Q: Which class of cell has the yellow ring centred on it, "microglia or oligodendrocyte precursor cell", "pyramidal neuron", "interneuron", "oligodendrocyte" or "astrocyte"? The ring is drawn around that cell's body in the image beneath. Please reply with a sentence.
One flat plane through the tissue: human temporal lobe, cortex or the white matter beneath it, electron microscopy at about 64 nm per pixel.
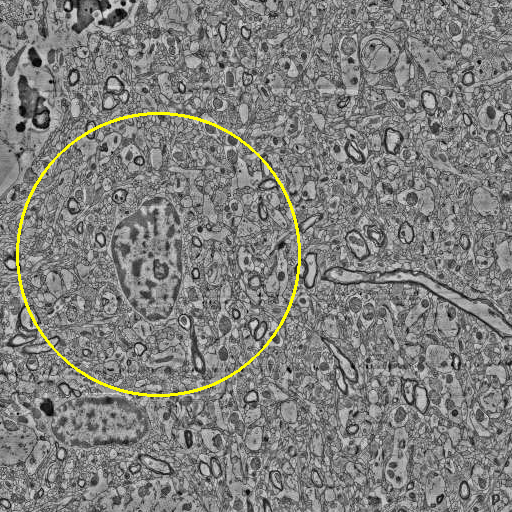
It is centred on a microglial cell or oligodendrocyte precursor cell.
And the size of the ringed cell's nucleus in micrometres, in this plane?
The ringed cell's nucleus is about 8 micrometres long and 5 micrometres wide in this plane.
